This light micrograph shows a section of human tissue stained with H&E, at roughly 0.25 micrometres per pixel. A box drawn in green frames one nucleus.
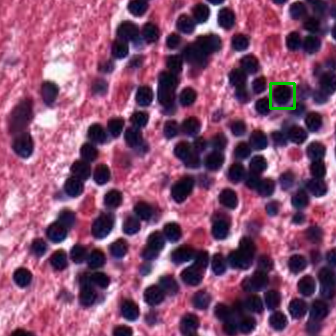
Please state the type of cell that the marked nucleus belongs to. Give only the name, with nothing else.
cerebellar granule cell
